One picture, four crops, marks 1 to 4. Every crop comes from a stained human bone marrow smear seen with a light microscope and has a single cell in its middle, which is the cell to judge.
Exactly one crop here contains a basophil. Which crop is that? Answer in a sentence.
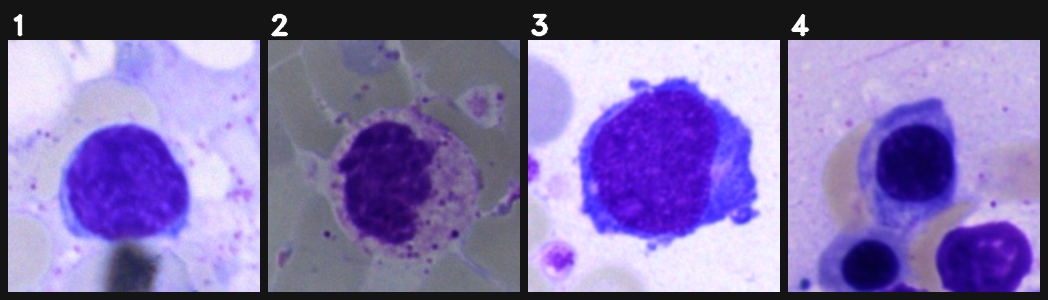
Among the crops given, only crop 2 shows a basophil.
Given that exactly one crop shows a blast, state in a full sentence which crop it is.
Within this set, crop 3 is the one with a blast at its center.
